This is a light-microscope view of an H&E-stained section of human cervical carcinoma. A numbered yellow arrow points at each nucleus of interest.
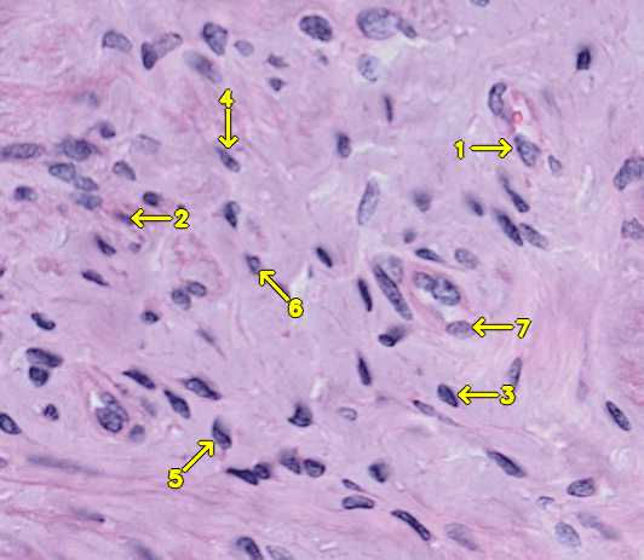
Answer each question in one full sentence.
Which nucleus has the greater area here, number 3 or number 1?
Of the two, number 1 is bigger and takes up about 2 times the area of number 3.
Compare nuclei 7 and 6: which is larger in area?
The larger nucleus is 7, at roughly 1.5 times the area of 6.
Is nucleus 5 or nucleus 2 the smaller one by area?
The smaller nucleus is 2, and 5 covers roughly 2 times its area.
